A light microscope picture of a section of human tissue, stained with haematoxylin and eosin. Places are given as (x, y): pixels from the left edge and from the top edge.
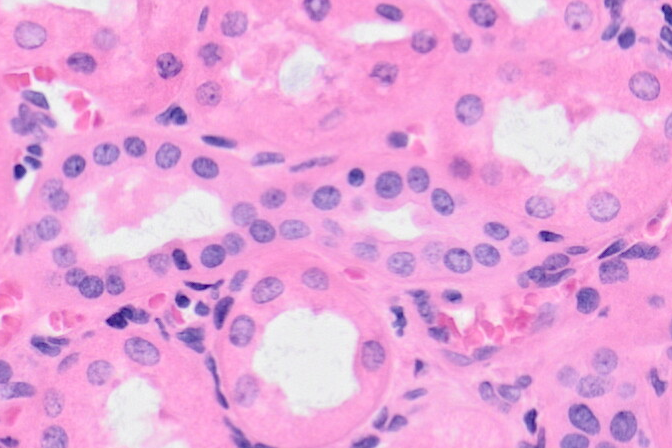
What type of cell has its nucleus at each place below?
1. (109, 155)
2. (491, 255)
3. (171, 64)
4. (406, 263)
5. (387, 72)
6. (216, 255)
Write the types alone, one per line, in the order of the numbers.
collecting duct cell
collecting duct cell
proximal tubule cell
collecting duct cell
proximal tubule cell
collecting duct cell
